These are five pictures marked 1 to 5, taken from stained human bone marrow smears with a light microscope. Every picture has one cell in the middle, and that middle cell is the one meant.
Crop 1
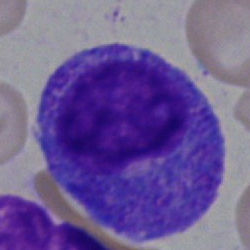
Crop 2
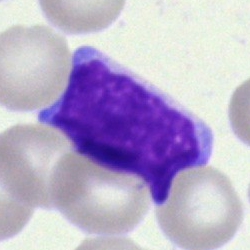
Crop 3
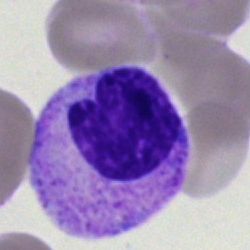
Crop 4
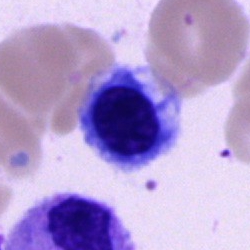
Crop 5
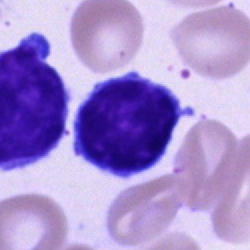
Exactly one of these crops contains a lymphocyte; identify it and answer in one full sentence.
Crop 5 is where a lymphocyte is to be found.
